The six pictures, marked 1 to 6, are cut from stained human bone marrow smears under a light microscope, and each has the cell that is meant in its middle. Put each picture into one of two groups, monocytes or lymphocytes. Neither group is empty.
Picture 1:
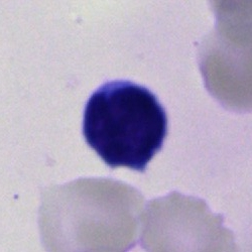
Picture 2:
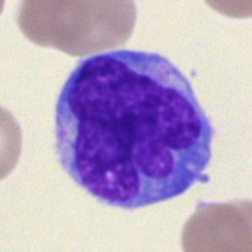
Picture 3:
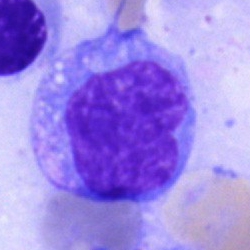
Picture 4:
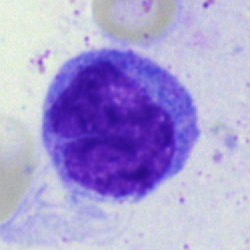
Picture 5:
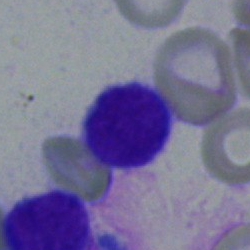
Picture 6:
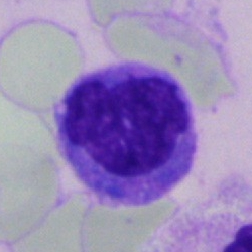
1: lymphocyte
2: monocyte
3: monocyte
4: monocyte
5: lymphocyte
6: monocyte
